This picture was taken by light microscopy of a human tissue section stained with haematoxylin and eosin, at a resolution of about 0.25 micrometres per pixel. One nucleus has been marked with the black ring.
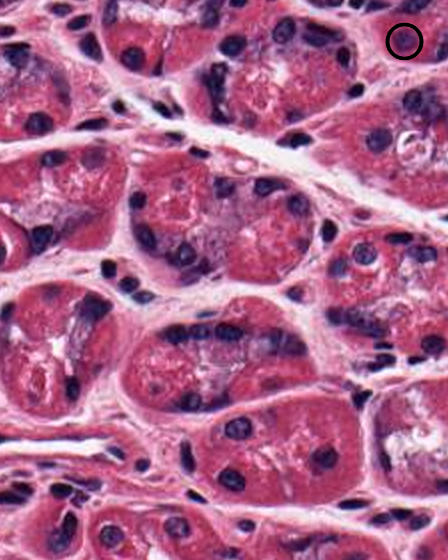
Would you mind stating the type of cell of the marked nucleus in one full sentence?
It is a parietal cell whose nucleus is marked.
